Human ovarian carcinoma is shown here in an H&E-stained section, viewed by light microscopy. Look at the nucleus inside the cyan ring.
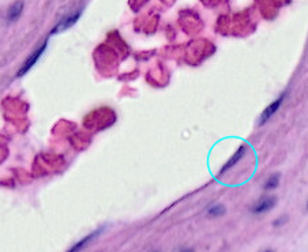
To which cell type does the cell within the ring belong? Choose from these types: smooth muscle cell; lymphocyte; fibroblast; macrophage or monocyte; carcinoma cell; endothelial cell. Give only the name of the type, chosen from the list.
endothelial cell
